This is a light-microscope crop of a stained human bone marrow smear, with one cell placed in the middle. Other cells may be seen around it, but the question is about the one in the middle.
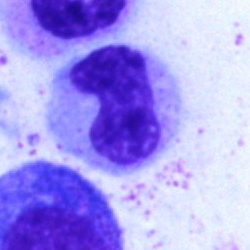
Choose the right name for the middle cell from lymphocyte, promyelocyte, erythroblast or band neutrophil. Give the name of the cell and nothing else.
band neutrophil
